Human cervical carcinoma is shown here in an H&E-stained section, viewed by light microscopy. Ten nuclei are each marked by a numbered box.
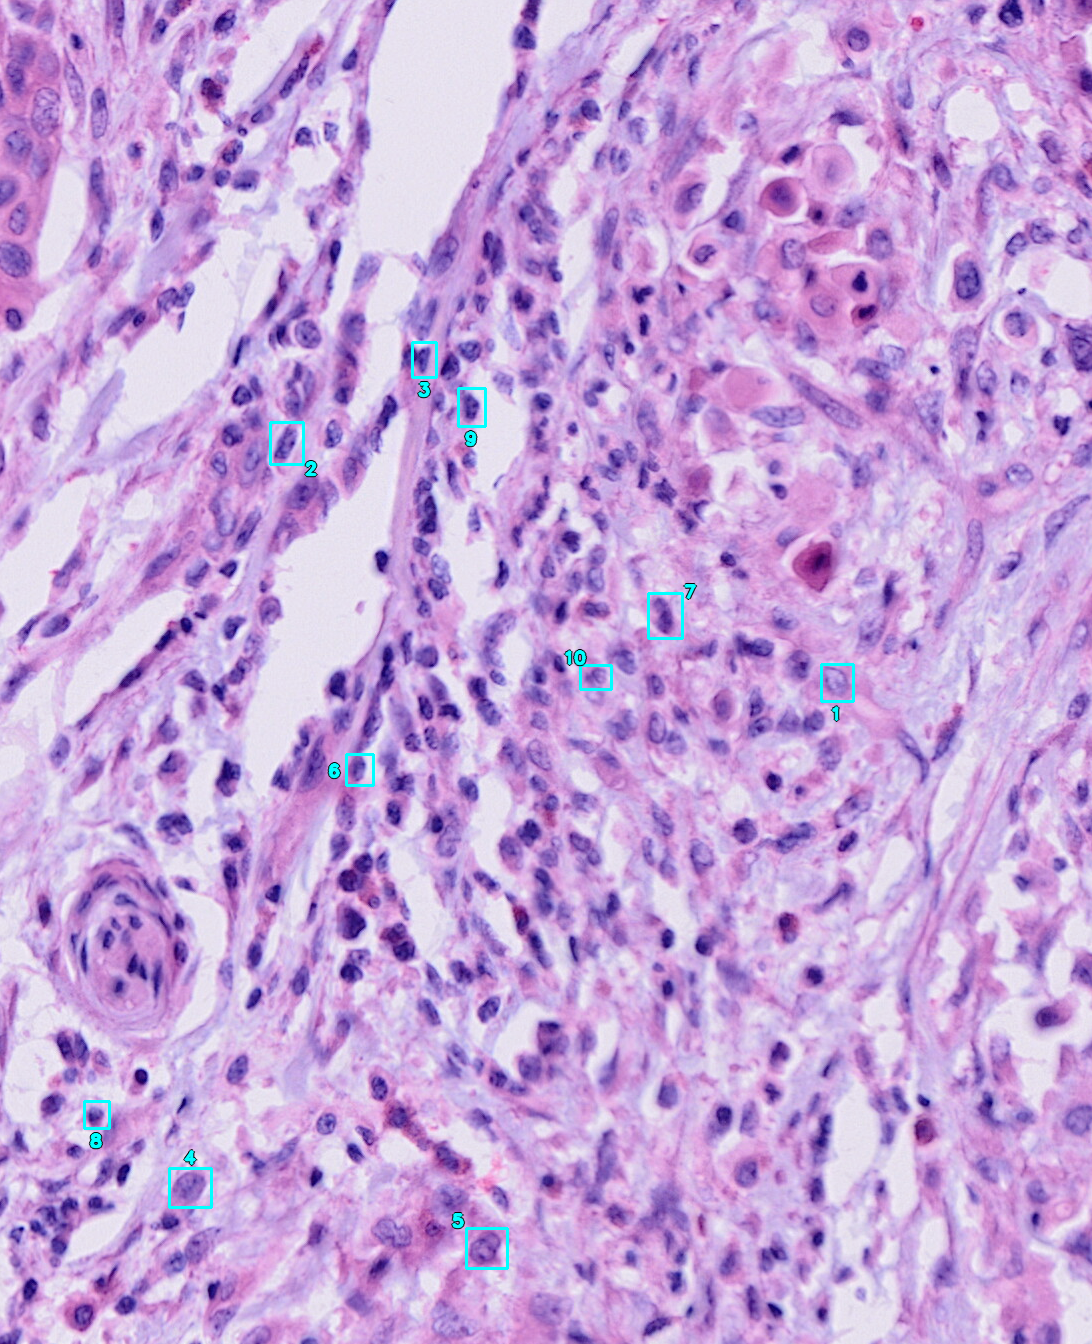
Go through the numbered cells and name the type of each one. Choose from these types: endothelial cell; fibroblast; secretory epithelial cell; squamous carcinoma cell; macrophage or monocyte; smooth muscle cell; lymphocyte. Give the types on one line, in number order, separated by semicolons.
endothelial cell; lymphocyte; lymphocyte; macrophage or monocyte; macrophage or monocyte; lymphocyte; macrophage or monocyte; lymphocyte; lymphocyte; macrophage or monocyte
